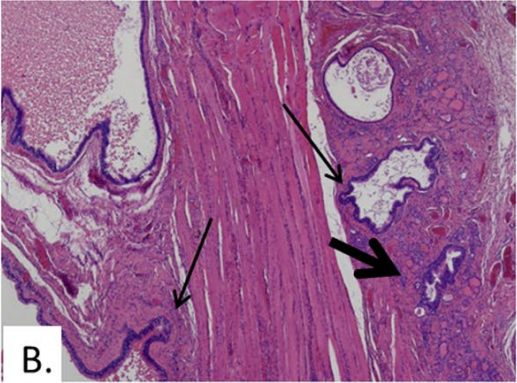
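This is the wall of a thyroglossal duct cyst at low power, stained pink and purple. On the left a lumen filled with red blood cells is lined by a thin purple layer of epithelium that folds along the wall. A broad band of pink, long parallel fibres of skeletal muscle runs down the middle of the field. To the right of the muscle the wall holds epithelium-lined branching spaces and, among them, clusters of small round follicles filled with pink colloid, each rimmed by a single layer of cells.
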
